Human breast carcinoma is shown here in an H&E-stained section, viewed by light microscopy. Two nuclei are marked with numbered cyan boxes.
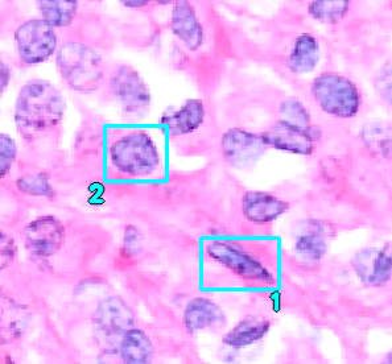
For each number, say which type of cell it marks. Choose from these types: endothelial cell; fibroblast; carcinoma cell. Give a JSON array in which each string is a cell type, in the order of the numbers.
["endothelial cell", "carcinoma cell"]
